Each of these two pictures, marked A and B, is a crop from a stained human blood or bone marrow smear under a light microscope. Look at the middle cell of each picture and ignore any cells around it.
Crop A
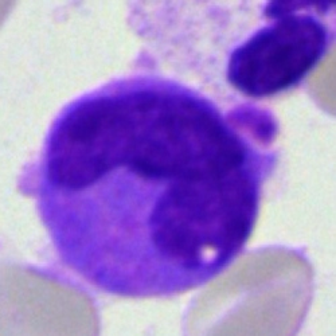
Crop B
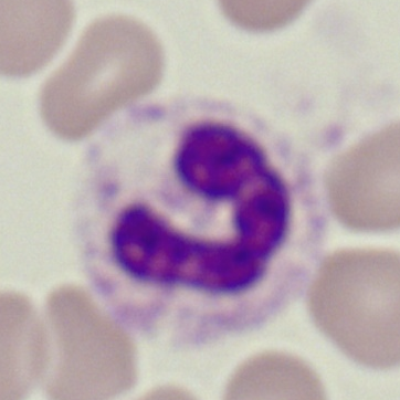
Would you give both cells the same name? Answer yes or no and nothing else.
no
